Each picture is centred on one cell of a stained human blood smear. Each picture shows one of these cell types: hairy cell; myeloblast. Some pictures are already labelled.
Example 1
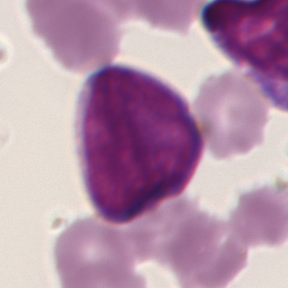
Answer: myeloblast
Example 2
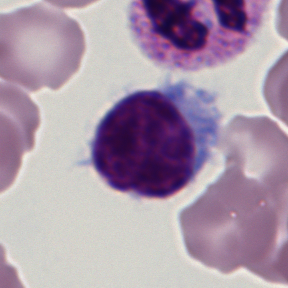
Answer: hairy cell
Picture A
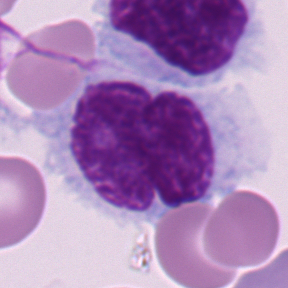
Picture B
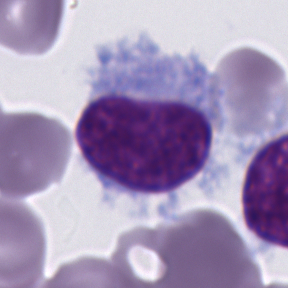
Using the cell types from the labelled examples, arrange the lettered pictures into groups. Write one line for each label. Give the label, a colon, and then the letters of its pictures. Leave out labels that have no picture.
hairy cell: A, B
